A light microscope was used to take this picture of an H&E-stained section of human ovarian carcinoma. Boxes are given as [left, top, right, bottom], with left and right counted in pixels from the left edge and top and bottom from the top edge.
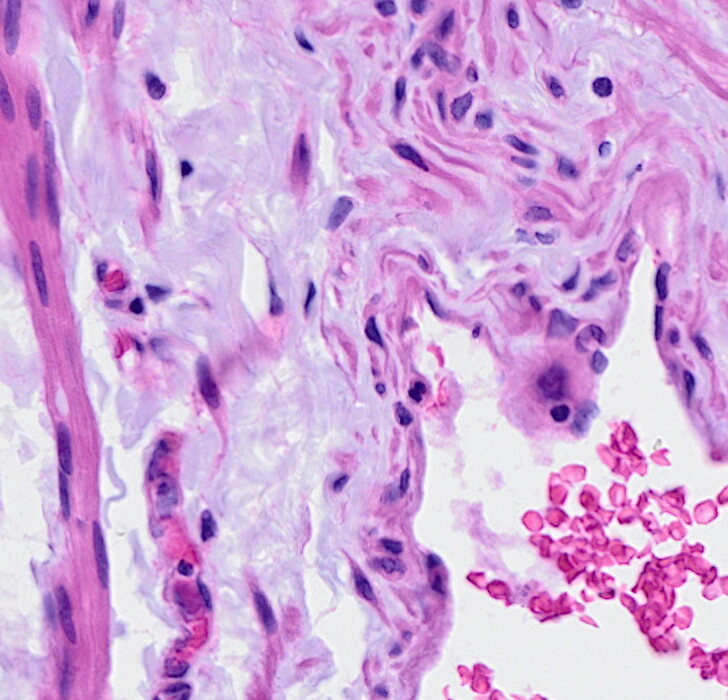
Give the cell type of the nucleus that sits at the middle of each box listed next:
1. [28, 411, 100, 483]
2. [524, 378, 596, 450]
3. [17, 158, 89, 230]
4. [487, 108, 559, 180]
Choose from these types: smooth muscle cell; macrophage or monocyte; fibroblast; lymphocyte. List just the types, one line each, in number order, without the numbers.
smooth muscle cell
lymphocyte
smooth muscle cell
smooth muscle cell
